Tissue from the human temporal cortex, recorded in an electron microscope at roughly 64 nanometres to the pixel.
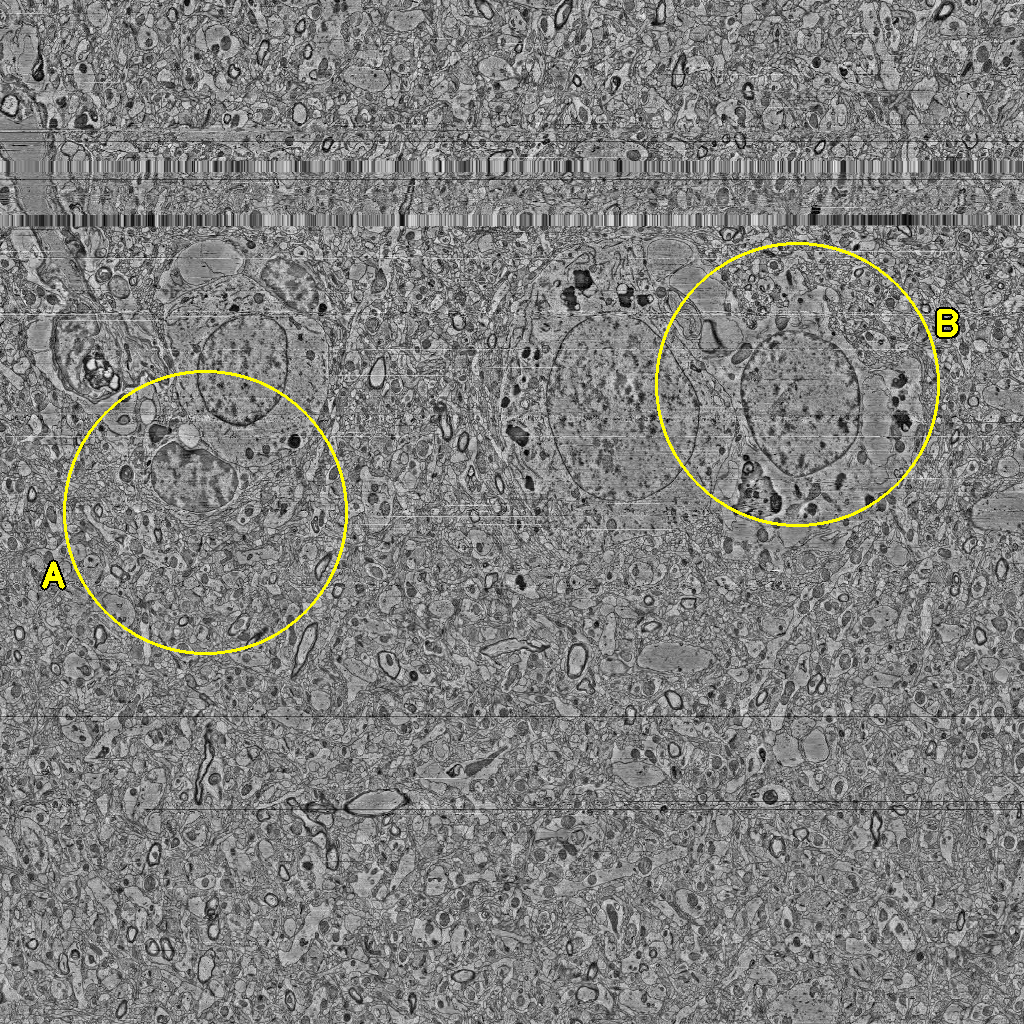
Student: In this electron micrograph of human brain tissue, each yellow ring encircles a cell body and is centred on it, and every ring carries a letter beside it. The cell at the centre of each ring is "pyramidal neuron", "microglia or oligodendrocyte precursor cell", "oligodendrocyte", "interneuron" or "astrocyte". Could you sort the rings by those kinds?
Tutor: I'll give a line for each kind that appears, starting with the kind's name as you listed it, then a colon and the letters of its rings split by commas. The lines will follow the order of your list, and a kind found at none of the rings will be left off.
microglia or oligodendrocyte precursor cell: A
astrocyte: B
